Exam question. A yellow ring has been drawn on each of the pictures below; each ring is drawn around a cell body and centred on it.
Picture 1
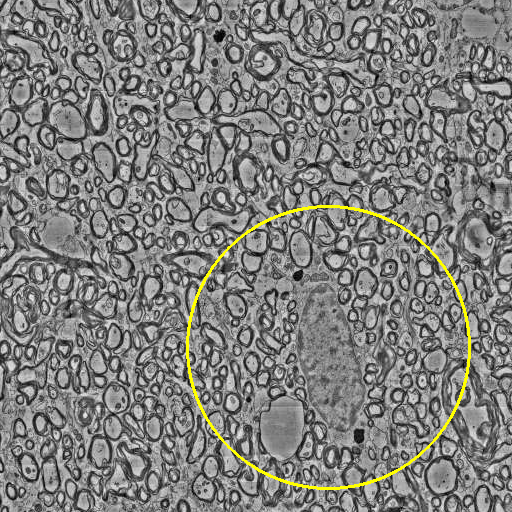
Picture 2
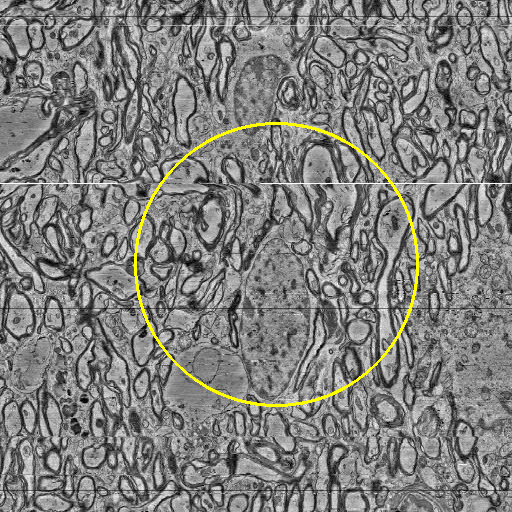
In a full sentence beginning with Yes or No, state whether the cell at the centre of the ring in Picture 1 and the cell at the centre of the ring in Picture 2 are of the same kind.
No, the cells are of two kinds.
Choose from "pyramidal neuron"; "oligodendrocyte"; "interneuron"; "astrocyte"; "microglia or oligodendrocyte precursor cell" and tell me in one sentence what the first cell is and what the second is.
What the first ring is centred on is an oligodendrocyte; what the second ring is centred on is a microglial cell or oligodendrocyte precursor cell.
